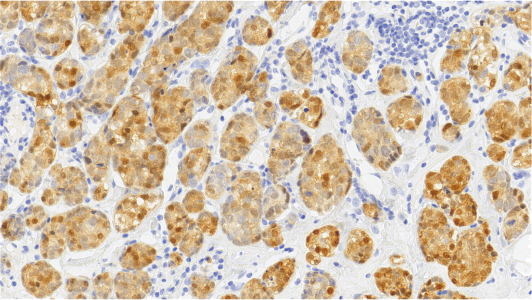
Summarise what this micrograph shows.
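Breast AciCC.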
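The tumour is made of closely packed small rounded and oval nests and acini separated by thin strands of fibrous stroma. Nearly all tumour cells show diffuse brown staining of the cytoplasm, with many nuclei also stained darker brown. The cytoplasm appears granular and in places vacuolated. A cluster of small cells with dark blue round nuclei and scant cytoplasm, resembling lymphocytes, lies unstained in the stroma at the upper right. Stromal cells between the nests are unstained.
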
